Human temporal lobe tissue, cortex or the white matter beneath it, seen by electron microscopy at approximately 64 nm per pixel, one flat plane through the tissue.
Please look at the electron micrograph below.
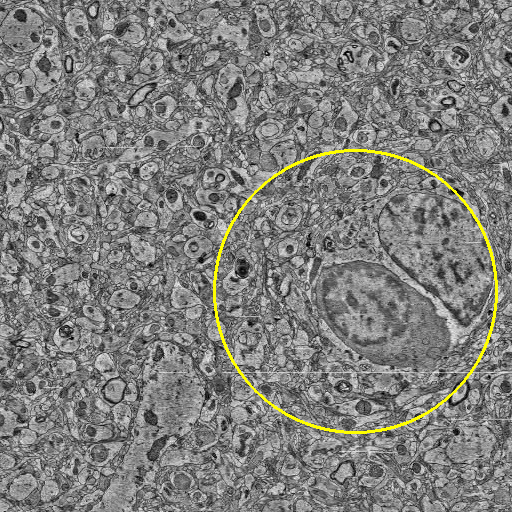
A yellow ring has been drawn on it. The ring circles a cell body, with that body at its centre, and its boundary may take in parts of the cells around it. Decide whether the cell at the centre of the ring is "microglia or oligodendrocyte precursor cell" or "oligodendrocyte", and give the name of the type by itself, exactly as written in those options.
oligodendrocyte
